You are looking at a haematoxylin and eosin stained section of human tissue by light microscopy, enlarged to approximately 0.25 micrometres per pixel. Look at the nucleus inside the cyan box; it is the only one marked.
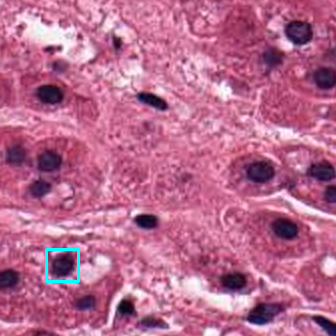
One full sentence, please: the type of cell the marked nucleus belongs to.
The marked nucleus is part of an adrenal cortical cell.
